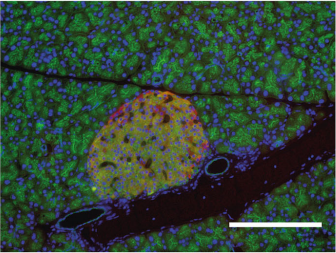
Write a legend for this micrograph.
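A rounded islet of Langerhans lies within the exocrine pancreas, next to a large vessel crossing the field. The surrounding exocrine tissue is packed with cells whose cytoplasm is stained bright green, each with a blue nucleus. The islet's cells show overlapping red and green, so the whole islet appears yellow-orange, with a few darker red-brown spots. The islet is clearly bounded against the green acinar tissue around it.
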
